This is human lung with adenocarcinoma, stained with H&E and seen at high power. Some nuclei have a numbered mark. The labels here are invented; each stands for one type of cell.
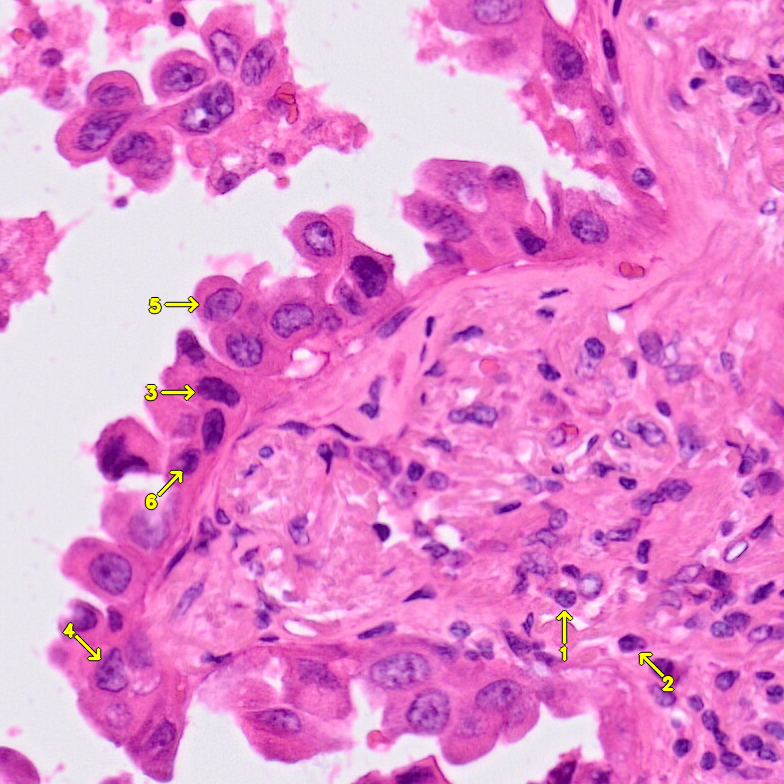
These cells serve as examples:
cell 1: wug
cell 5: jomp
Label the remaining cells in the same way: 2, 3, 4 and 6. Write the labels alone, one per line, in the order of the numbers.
wug
jomp
jomp
jomp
